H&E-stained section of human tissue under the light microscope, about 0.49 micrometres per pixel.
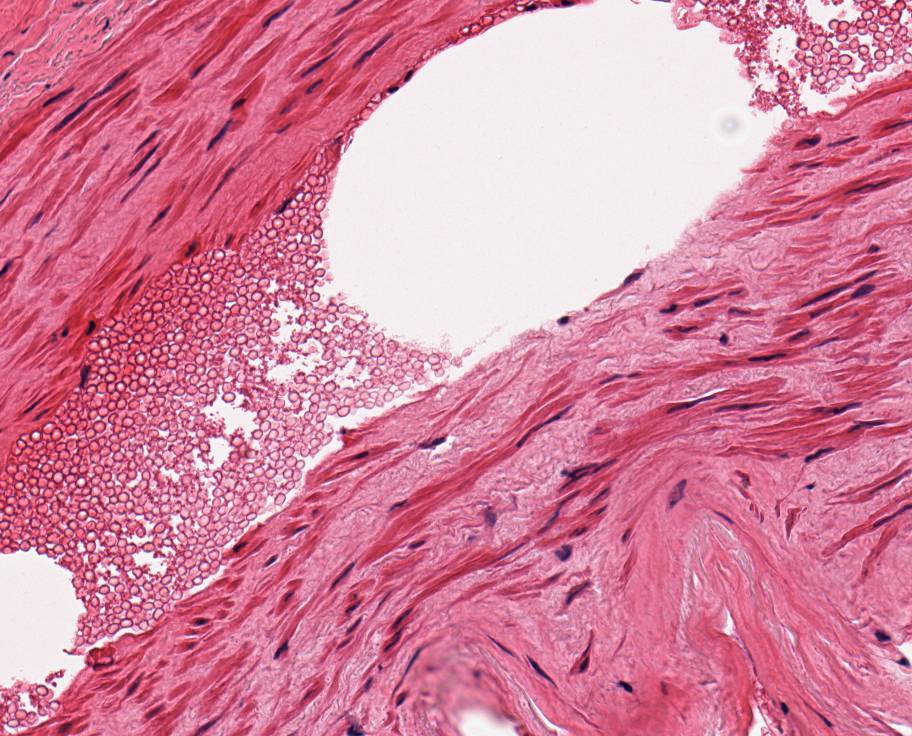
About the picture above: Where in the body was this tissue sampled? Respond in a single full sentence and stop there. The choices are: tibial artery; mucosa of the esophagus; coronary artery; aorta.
Tissue on this slide was obtained from the tibial artery.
